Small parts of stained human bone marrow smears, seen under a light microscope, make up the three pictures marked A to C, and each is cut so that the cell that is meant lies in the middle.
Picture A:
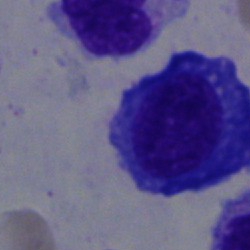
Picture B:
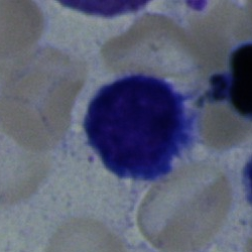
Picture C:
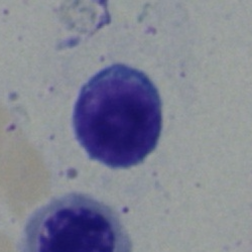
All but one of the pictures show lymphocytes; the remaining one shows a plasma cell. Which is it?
A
